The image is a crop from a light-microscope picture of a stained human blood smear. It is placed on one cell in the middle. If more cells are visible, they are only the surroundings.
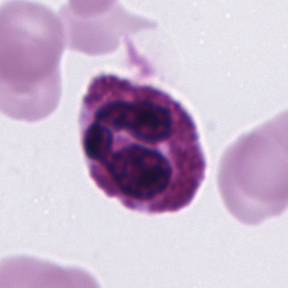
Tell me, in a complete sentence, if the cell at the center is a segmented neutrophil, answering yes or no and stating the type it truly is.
No, the central cell is identified not as a segmented neutrophil but as an eosinophil.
